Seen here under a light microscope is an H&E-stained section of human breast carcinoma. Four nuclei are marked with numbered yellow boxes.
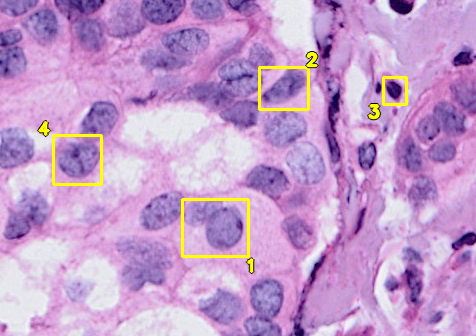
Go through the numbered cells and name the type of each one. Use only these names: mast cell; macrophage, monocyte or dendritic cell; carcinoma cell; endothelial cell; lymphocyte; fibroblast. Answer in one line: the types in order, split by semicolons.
carcinoma cell; carcinoma cell; mast cell; carcinoma cell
